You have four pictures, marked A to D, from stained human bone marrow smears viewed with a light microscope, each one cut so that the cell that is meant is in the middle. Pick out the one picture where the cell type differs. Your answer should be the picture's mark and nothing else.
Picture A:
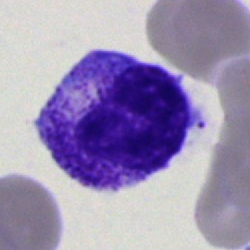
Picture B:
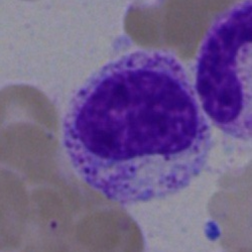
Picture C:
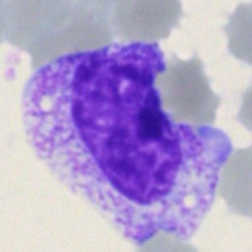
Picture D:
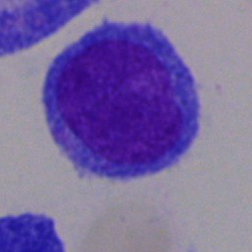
D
